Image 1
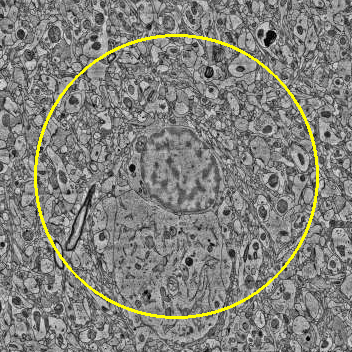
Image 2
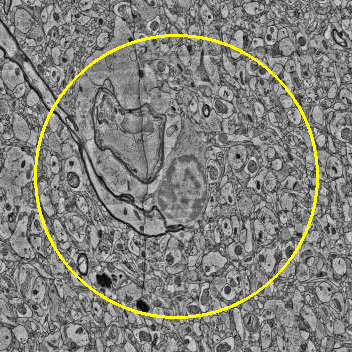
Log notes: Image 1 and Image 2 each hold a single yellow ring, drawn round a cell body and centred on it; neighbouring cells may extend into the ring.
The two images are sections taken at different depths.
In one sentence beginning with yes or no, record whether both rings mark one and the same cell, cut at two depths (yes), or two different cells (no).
No, the rings identify two cells, not one shared cell.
